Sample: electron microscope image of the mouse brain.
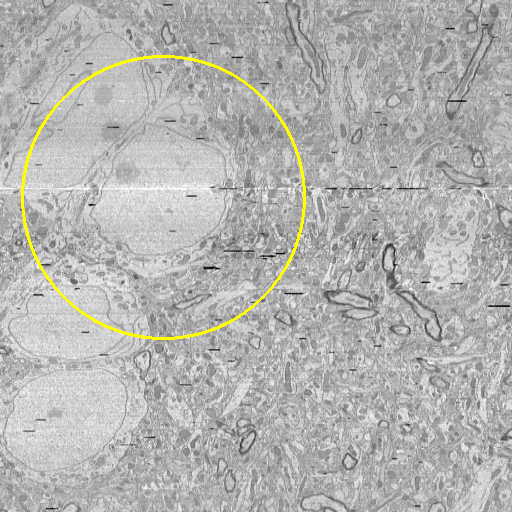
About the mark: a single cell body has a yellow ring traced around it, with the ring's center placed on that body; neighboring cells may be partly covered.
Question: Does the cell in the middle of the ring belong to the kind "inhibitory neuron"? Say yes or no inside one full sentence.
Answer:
No, the cell at the ring's center in this image belongs to a different kind.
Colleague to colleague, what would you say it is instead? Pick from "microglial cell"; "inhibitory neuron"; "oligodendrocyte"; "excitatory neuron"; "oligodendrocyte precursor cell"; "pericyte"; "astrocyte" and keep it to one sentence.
Instead, the ringed cell here is an excitatory neuron.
